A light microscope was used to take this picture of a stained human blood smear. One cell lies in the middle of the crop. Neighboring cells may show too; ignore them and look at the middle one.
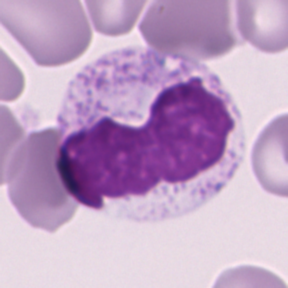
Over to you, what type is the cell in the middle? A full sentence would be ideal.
At the crop's centre, the cell is a band neutrophil.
